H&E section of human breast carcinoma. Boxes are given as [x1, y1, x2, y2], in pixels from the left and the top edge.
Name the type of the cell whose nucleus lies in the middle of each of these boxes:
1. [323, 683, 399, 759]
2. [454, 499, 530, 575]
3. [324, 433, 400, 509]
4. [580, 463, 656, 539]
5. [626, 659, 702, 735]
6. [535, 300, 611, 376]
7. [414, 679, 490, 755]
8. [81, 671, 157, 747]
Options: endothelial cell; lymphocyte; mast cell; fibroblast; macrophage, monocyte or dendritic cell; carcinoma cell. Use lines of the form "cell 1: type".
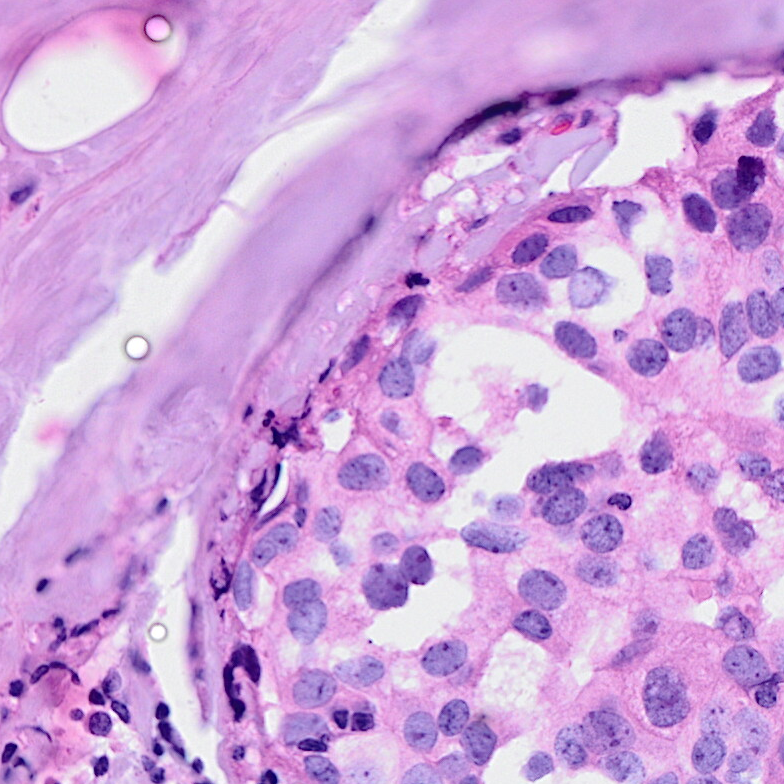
cell 1: lymphocyte
cell 2: carcinoma cell
cell 3: carcinoma cell
cell 4: lymphocyte
cell 5: carcinoma cell
cell 6: carcinoma cell
cell 7: carcinoma cell
cell 8: lymphocyte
